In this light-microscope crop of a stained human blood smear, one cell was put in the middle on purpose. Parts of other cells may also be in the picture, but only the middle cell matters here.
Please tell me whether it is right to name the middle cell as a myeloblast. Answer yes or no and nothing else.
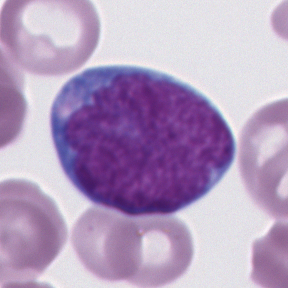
yes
